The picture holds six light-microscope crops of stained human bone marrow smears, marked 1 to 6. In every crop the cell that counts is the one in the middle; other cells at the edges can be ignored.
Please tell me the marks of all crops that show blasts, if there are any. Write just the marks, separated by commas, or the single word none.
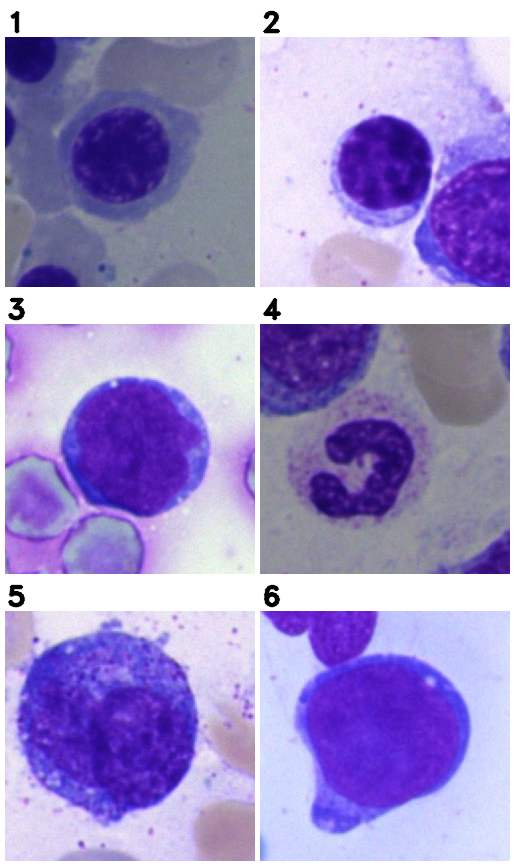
3, 6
